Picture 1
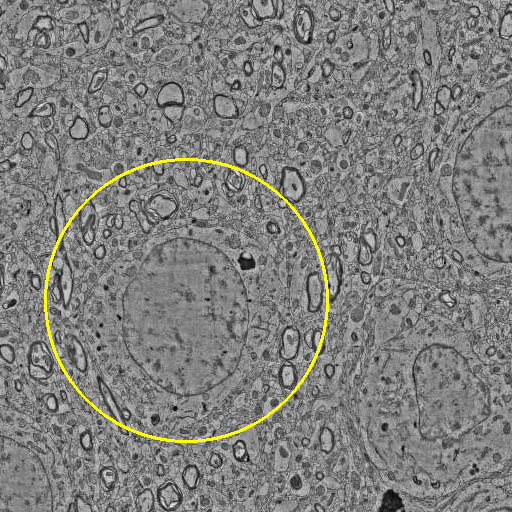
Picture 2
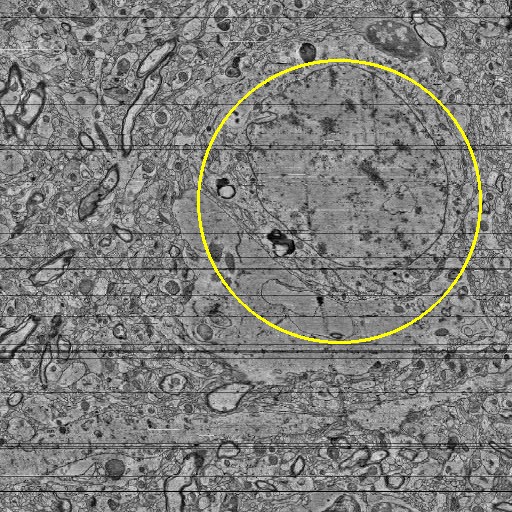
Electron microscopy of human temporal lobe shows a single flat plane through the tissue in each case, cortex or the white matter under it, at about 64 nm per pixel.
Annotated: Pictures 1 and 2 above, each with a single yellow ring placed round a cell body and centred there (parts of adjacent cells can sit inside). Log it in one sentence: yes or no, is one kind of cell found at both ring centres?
Yes, the ring centres of the two pictures hold cells of one kind.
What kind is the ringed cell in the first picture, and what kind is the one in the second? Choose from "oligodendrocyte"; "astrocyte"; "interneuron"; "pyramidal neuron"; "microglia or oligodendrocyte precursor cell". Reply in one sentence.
In the first picture and in the second, the ring is centred on a pyramidal neuron.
